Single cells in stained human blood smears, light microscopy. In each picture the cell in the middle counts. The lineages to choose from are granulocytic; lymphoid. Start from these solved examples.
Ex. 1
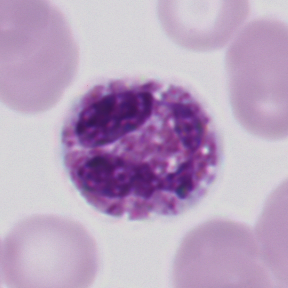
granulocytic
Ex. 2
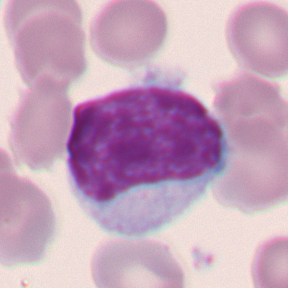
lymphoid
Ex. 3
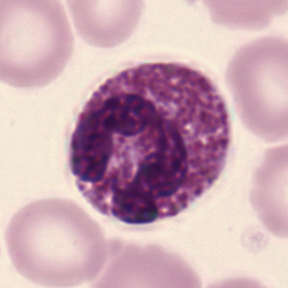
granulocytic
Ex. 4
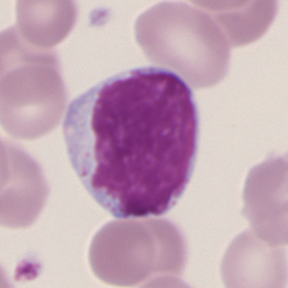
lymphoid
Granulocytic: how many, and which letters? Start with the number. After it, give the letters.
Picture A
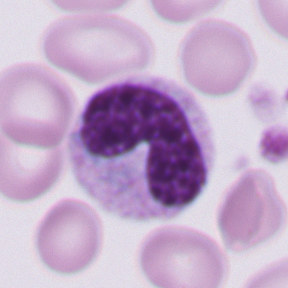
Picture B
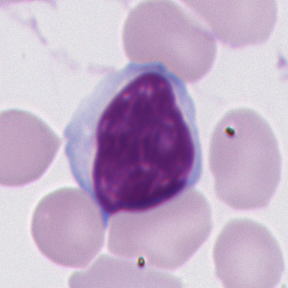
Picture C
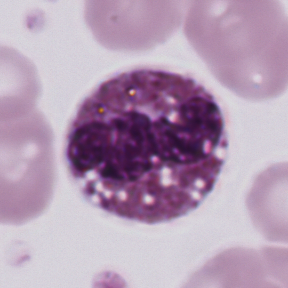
Count: 2 (A, C)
